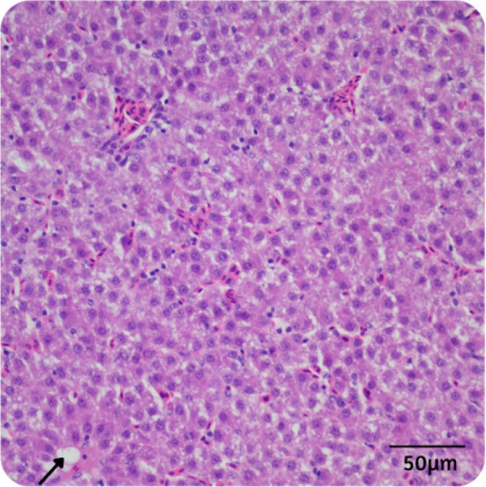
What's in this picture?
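Liver parenchyma made of closely packed polygonal hepatocytes with pink granular cytoplasm. Each hepatocyte has a single round central purple nucleus. Small clusters of darker-staining cells around vessels are scattered through the field. Clear cytoplasmic vacuoles are rare, one lying at the lower left edge.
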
